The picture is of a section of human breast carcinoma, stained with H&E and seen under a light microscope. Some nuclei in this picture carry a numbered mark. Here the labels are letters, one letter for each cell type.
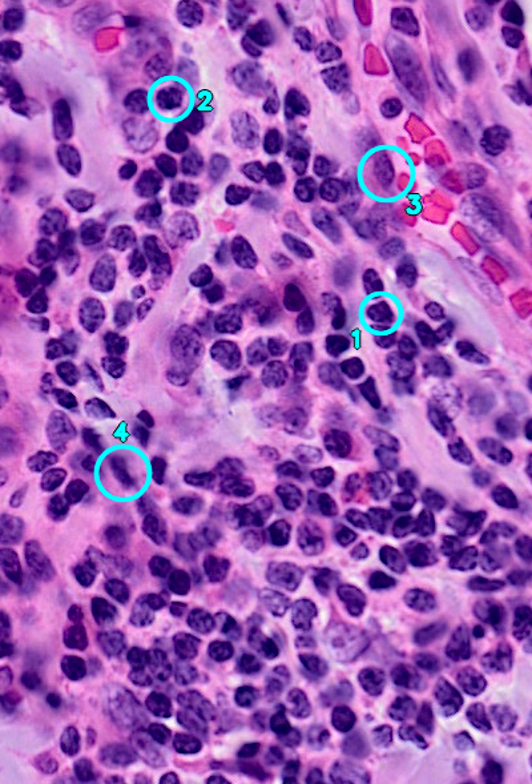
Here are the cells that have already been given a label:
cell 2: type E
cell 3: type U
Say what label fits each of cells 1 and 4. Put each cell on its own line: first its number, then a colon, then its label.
1: type E
4: type E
